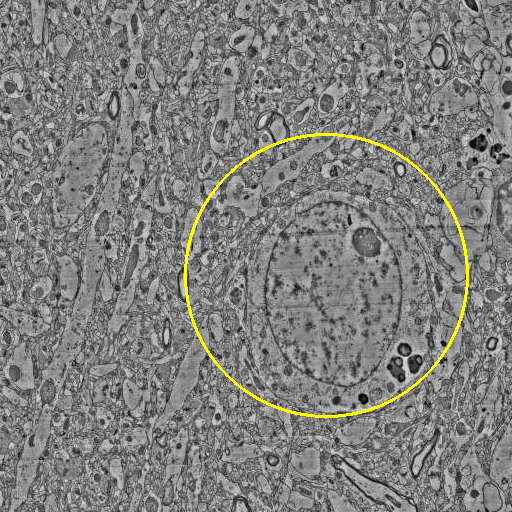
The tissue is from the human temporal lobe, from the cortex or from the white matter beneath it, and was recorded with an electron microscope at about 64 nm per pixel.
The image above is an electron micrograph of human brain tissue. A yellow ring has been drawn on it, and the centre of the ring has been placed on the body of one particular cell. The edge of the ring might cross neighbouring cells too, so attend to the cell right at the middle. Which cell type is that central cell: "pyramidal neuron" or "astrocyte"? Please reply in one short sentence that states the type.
The central cell in the ring is a pyramidal neuron.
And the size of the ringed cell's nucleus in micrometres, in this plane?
Roughly 12 by 9 micrometres is the size of the nucleus in this plane.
